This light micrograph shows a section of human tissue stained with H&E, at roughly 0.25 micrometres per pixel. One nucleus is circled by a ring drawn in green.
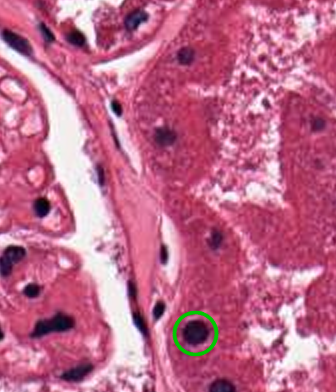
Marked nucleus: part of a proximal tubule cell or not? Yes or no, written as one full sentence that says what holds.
Yes, the nucleus that has been marked is that of a proximal tubule cell.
